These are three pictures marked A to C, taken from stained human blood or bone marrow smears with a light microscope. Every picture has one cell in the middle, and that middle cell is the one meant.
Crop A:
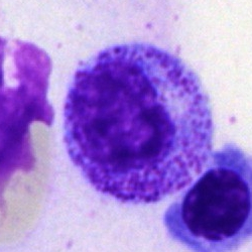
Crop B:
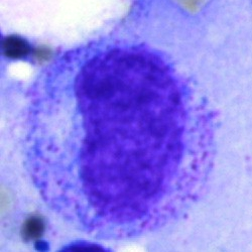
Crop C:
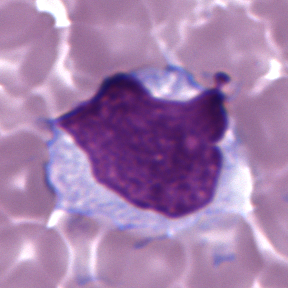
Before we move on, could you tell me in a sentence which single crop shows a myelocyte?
Crop B is the right one; it is the crop showing a myelocyte.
